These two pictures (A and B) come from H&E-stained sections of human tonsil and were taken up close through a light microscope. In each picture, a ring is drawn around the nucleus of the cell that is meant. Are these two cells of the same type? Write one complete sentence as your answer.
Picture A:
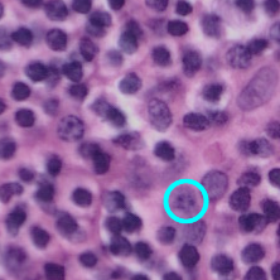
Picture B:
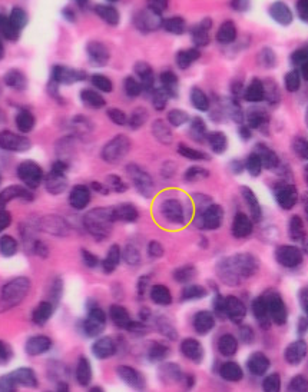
Yes; the cells in both pictures are endothelial cells.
